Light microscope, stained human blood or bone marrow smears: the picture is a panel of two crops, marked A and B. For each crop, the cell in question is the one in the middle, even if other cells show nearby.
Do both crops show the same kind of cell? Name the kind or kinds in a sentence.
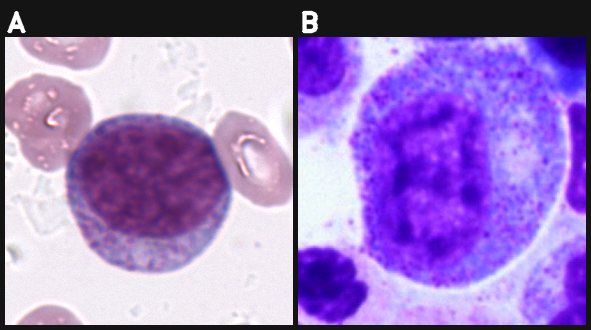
Yes, the cells found in the middle of both crops are promyelocytes.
